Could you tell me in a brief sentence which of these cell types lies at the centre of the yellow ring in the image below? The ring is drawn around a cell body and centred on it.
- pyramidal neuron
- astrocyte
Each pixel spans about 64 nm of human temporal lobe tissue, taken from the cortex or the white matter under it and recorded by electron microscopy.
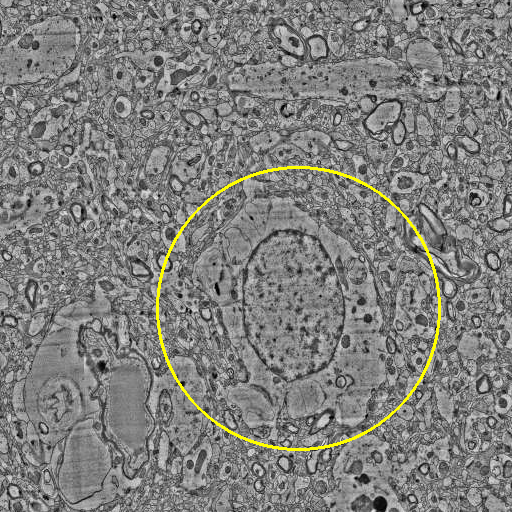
The cell centred in the ring is an astrocyte.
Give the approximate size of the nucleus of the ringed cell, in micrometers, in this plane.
The nucleus has a long axis of about 10 micrometres and a short axis of about 7 micrometres in this plane.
